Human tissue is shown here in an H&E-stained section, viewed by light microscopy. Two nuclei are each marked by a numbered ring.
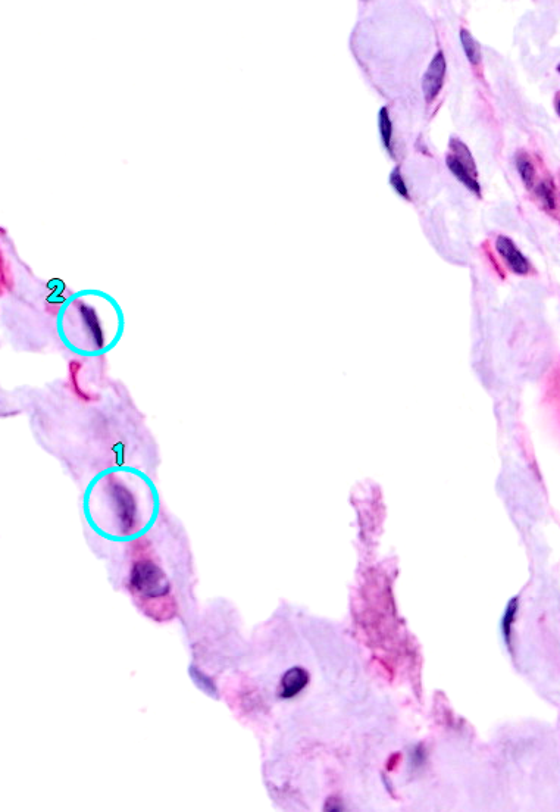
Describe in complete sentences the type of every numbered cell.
Cell 1 is a fibroblast and cell 2 is an endothelial cell.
